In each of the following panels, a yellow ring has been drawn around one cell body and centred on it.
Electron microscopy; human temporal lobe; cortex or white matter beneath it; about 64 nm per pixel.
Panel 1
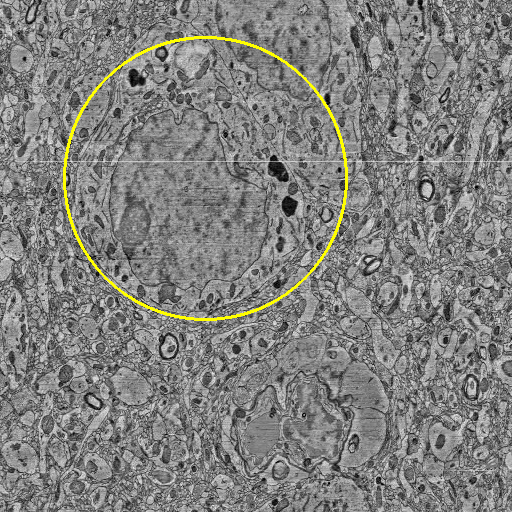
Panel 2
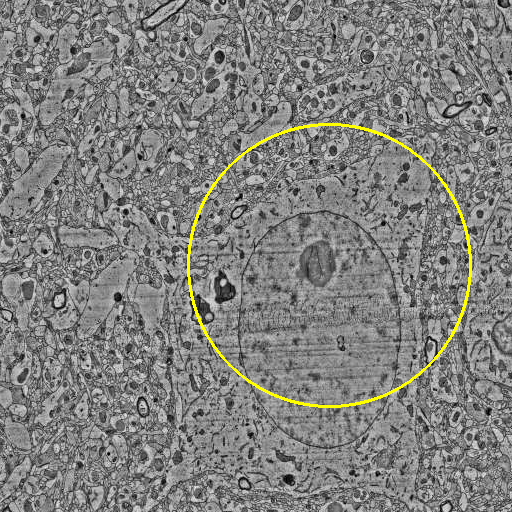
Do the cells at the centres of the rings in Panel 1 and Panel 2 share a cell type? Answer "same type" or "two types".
two types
